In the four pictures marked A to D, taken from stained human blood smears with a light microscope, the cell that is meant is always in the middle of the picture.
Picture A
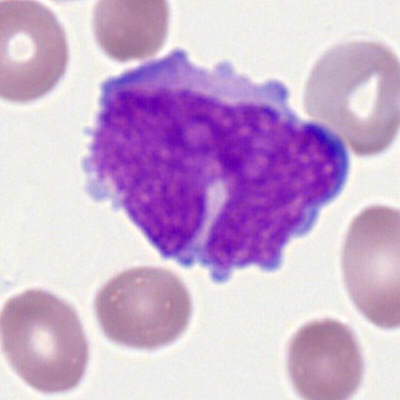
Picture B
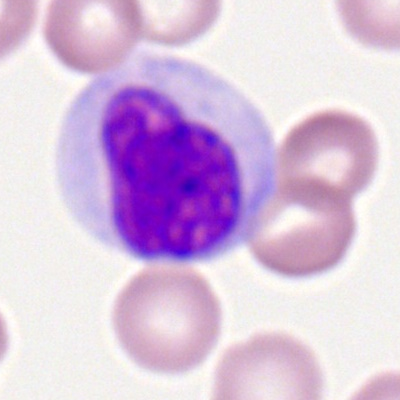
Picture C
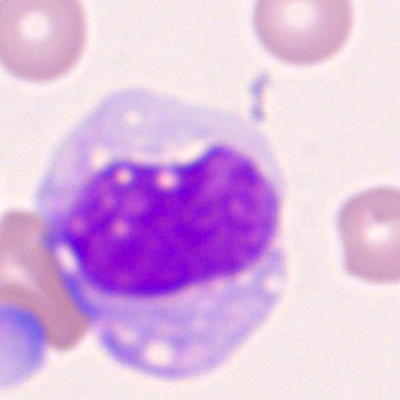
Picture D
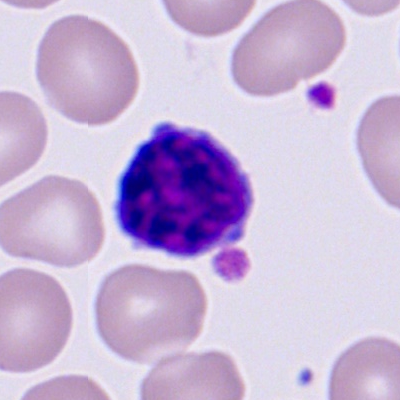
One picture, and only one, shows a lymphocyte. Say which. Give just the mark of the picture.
D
